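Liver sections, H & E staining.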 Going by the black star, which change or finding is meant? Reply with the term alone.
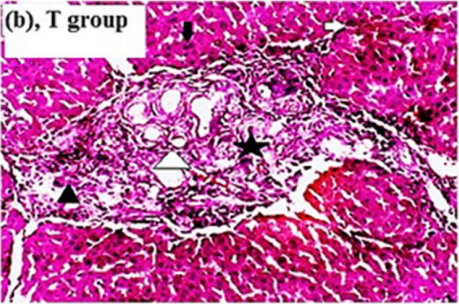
Fibrosis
